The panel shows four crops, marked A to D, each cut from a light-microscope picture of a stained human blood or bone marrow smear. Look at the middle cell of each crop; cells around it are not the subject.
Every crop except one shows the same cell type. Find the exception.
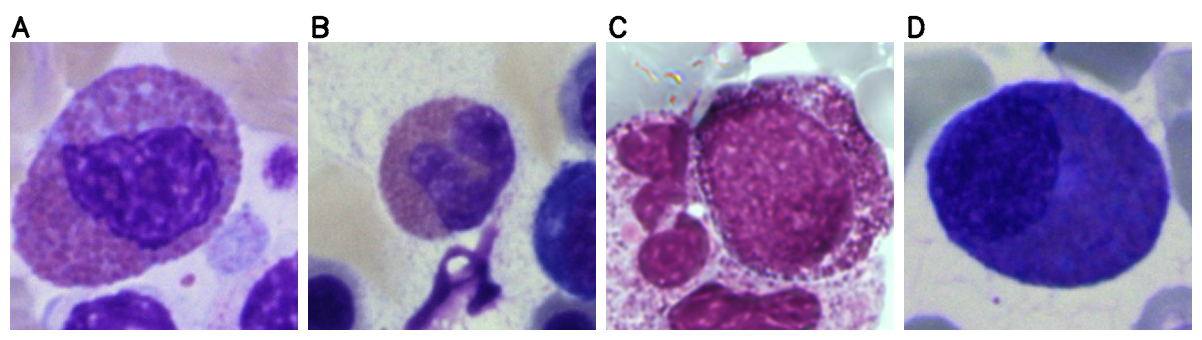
C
